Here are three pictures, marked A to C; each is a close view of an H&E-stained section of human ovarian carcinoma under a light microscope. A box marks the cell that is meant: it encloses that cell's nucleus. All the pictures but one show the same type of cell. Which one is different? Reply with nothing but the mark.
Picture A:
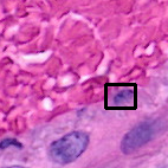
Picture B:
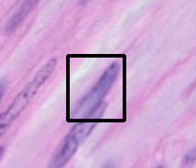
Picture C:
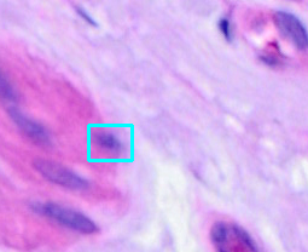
A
